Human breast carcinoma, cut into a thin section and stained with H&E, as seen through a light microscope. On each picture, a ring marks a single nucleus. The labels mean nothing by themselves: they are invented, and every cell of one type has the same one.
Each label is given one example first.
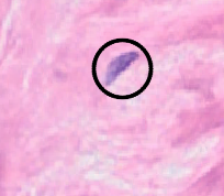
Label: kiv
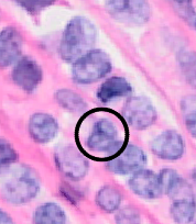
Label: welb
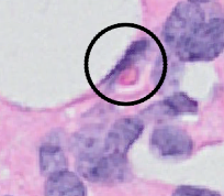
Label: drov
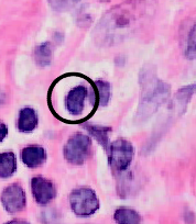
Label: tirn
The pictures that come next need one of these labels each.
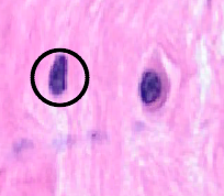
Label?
tirn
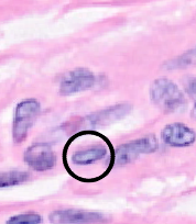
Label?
drov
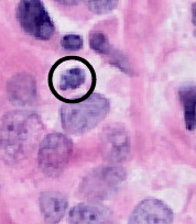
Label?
tirn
